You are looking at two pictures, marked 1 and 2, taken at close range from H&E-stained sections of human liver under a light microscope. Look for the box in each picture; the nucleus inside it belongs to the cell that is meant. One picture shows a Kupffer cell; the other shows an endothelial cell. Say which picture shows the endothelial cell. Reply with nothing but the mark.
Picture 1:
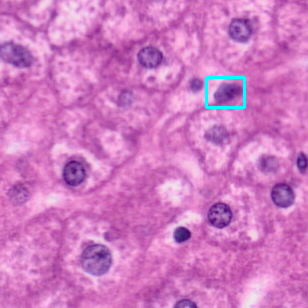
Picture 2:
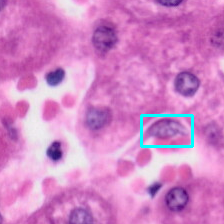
1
